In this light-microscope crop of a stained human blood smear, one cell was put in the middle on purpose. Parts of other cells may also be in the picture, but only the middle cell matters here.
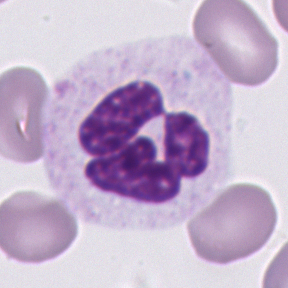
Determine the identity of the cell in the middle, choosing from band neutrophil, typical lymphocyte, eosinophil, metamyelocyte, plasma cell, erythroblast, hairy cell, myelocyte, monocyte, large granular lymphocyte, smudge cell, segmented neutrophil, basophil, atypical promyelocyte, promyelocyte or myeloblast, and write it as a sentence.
In the middle of this smear crop, the cell is a segmented neutrophil.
